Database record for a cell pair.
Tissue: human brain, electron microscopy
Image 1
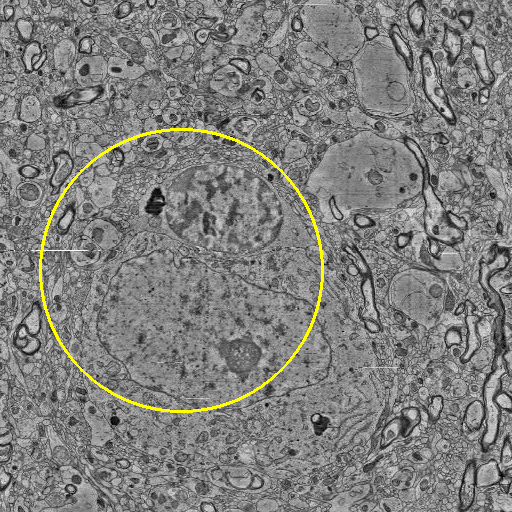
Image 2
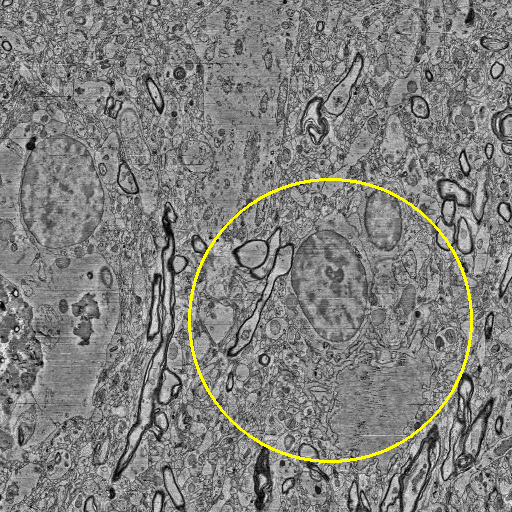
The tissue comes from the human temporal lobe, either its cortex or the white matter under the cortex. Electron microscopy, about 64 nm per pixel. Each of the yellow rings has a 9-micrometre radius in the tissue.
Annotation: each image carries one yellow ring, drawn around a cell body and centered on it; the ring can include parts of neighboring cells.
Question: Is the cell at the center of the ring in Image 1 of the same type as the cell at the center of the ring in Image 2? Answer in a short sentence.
No, the cells are of two types.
